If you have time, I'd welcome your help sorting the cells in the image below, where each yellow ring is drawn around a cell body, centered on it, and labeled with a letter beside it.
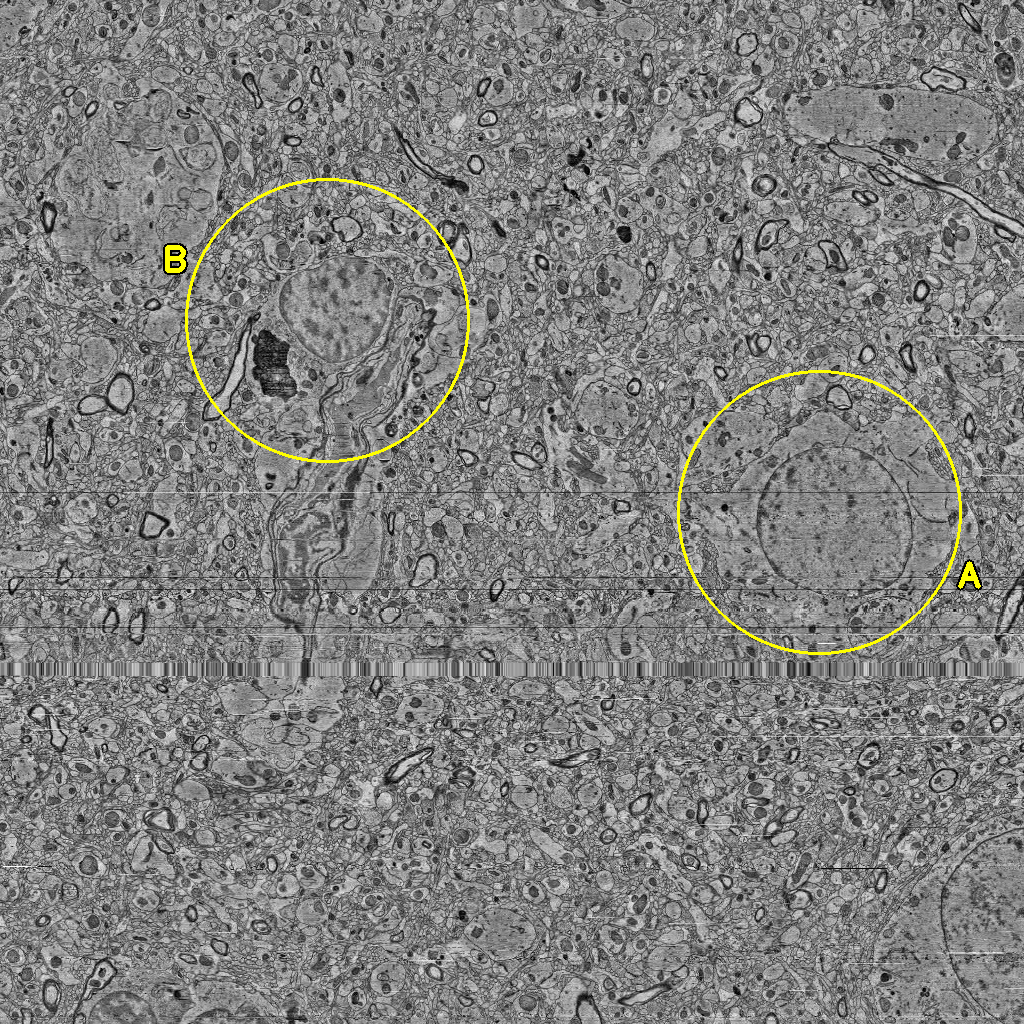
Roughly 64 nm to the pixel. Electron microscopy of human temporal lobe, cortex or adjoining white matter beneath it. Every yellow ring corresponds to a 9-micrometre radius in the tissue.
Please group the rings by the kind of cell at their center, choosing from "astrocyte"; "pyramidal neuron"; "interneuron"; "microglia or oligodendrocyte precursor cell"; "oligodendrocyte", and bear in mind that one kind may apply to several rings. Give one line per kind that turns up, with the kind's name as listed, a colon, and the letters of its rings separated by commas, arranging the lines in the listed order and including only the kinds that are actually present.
astrocyte: A
oligodendrocyte: B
